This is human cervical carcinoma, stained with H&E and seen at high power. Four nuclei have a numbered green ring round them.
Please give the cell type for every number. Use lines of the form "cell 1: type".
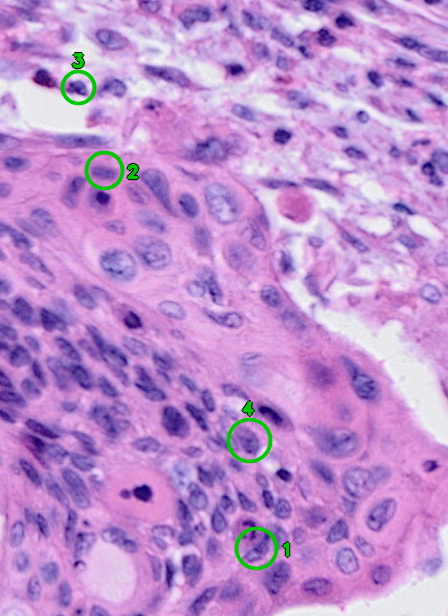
cell 1: squamous carcinoma cell
cell 2: squamous carcinoma cell
cell 3: lymphocyte
cell 4: squamous carcinoma cell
